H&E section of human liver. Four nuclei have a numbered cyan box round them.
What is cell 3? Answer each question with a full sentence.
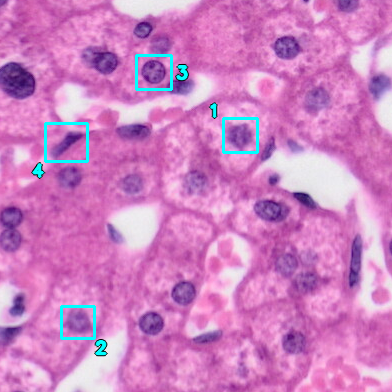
Cell 3 of the marked set is a hepatocyte.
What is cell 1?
The cell identified by the number 1 is a hepatocyte.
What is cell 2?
Cell number 2 in this section is a hepatocyte.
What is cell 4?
To a fibroblast or stellate cell belongs the nucleus marked 4.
